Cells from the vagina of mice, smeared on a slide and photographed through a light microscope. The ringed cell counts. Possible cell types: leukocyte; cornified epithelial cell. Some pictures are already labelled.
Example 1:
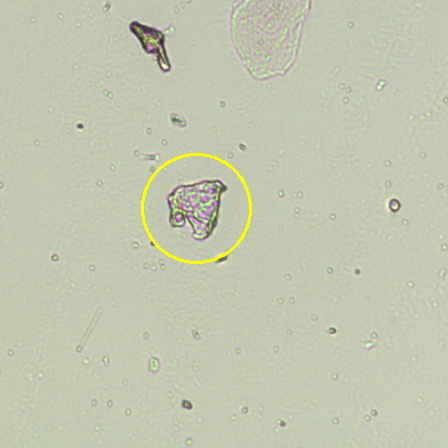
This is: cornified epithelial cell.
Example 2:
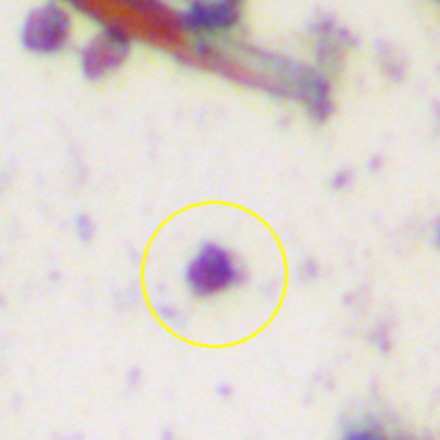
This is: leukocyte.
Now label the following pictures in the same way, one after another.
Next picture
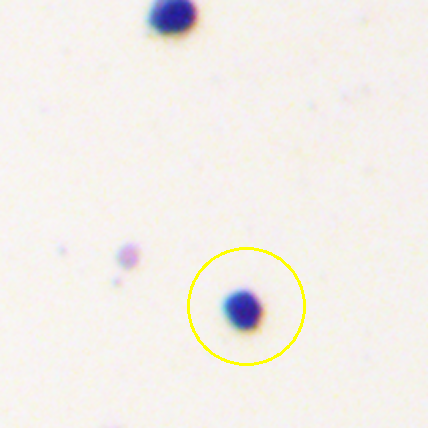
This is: leukocyte.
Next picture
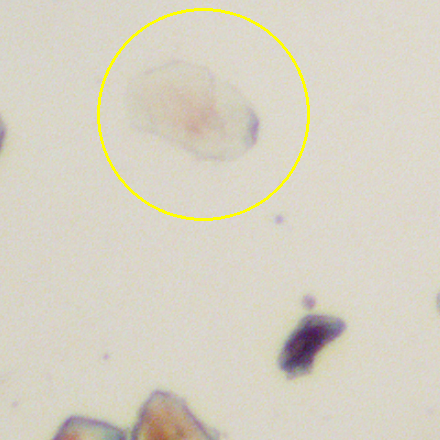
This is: cornified epithelial cell.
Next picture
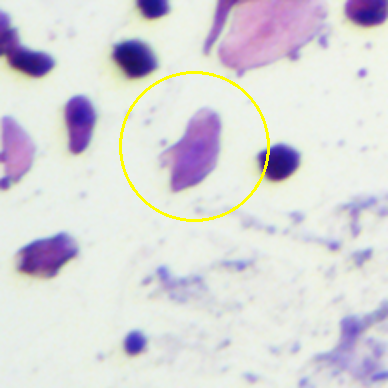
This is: cornified epithelial cell.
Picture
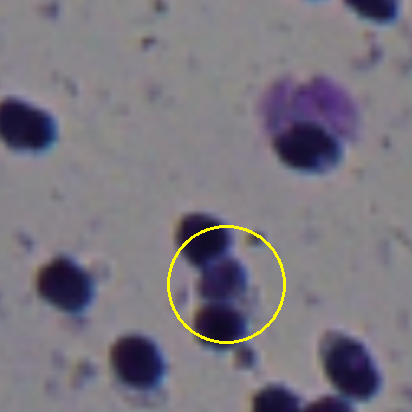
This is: leukocyte.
